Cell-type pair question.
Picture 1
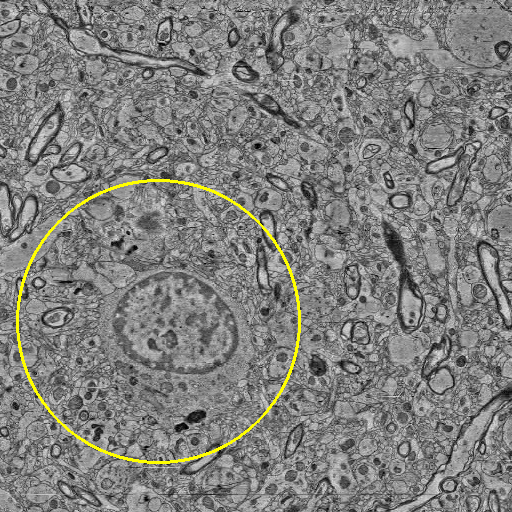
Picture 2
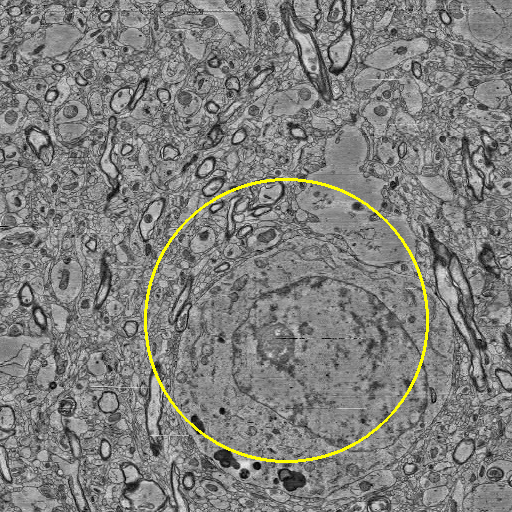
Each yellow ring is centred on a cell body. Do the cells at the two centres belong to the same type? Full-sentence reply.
No, the two cells belong to two types.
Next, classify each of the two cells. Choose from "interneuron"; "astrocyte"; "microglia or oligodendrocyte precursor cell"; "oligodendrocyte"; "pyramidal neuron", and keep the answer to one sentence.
In the first picture it is an oligodendrocyte; in the second it is a pyramidal neuron.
